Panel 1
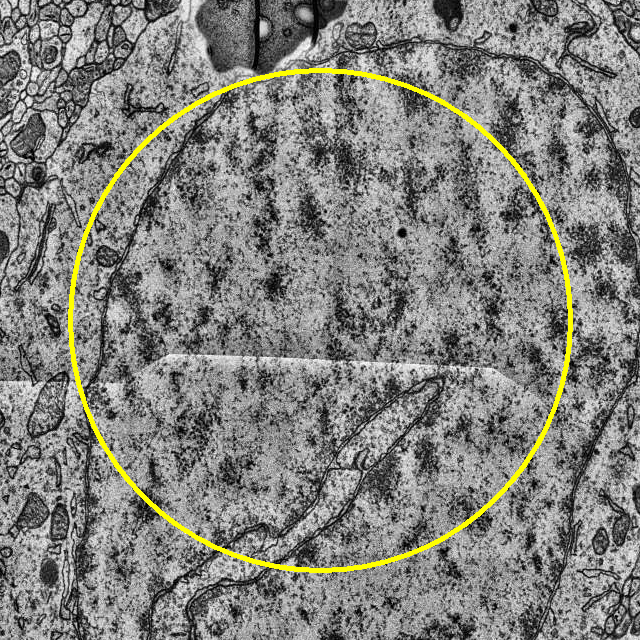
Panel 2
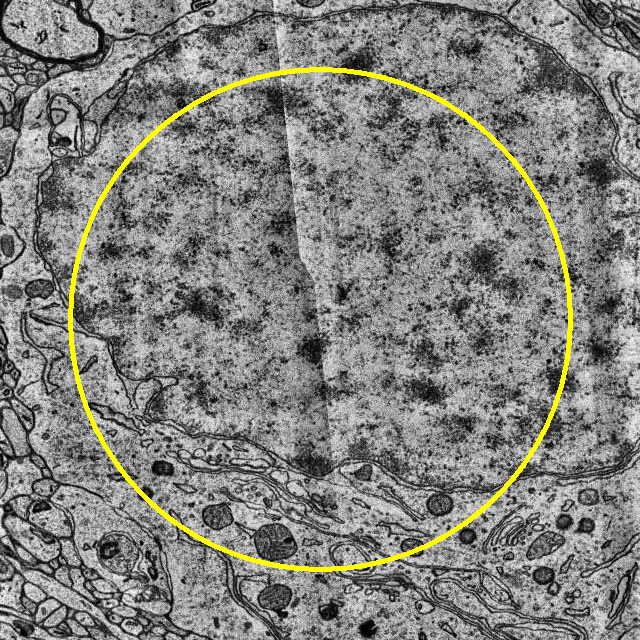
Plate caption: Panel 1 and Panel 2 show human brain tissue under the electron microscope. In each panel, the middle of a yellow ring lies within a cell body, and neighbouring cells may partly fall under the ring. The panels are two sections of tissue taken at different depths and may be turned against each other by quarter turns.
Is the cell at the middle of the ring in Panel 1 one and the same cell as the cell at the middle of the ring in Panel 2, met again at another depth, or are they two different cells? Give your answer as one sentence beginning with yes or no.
No, these two rings belong to two distinct cells.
